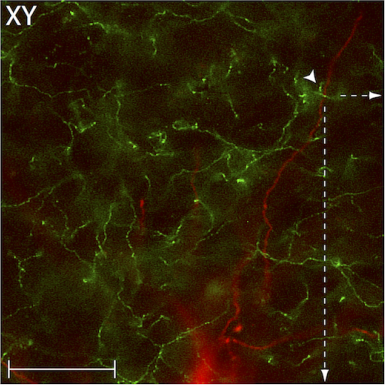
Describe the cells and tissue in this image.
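A red neuron sits at the lower edge of the field and sends long, thin dendrites upward through a dense meshwork of fine, varicose green axons. Far from the cell body, a green fiber crosses and abuts one of these thin distal dendrites.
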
